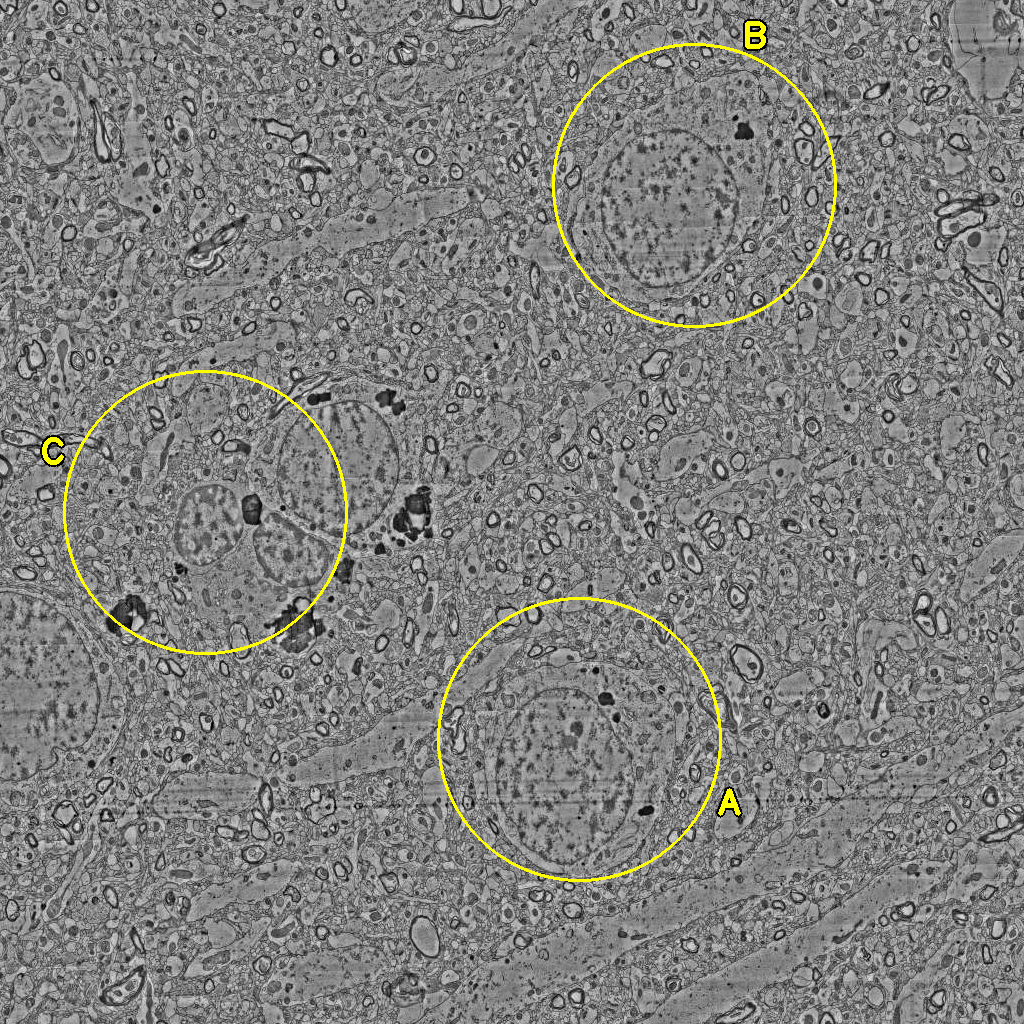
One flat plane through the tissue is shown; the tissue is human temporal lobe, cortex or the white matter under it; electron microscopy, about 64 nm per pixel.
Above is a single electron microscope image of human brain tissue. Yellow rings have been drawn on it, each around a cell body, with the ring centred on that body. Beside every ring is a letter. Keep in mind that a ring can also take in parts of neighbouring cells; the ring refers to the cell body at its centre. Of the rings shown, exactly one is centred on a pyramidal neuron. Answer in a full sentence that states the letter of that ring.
The cell at the centre of ring A is the one asked for.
